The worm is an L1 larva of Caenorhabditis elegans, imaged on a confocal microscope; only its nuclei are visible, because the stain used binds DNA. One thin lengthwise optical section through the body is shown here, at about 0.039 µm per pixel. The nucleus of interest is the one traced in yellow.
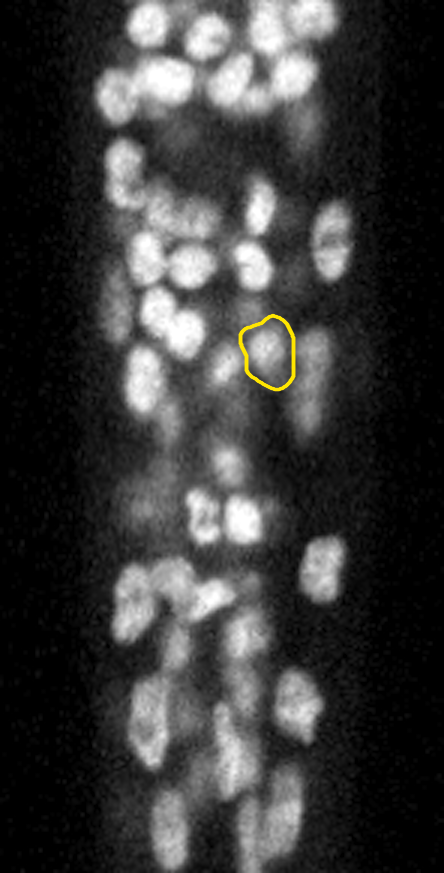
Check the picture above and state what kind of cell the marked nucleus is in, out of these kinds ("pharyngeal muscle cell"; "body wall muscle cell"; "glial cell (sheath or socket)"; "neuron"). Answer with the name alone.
glial cell (sheath or socket)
